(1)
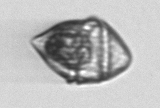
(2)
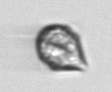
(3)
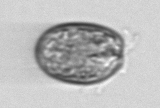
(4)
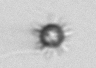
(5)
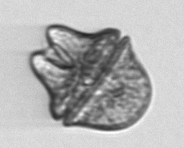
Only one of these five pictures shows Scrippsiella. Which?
Picture 2.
